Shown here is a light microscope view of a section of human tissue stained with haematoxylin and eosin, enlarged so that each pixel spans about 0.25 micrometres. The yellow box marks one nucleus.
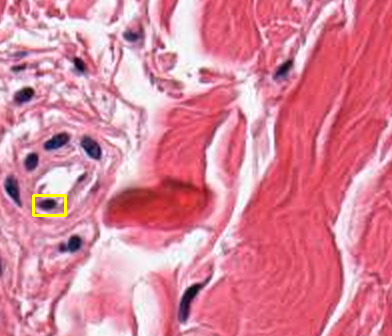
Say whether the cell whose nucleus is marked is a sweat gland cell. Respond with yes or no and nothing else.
no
